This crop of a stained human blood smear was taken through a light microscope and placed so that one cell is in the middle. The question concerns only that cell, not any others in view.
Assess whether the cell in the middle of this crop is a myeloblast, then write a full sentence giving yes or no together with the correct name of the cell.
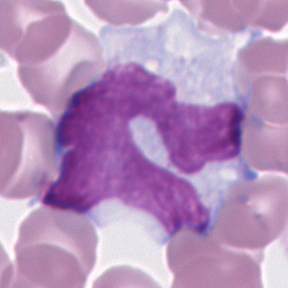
No, the cell sitting in the centre of the crop is a monocyte, not a myeloblast.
